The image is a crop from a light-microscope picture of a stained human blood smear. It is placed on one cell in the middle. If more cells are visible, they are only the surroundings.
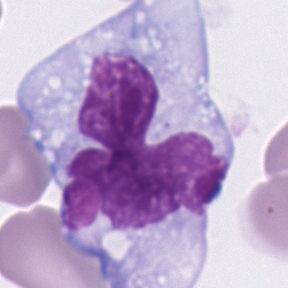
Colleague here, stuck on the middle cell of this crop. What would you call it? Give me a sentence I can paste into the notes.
Centred in the crop is a monocyte.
